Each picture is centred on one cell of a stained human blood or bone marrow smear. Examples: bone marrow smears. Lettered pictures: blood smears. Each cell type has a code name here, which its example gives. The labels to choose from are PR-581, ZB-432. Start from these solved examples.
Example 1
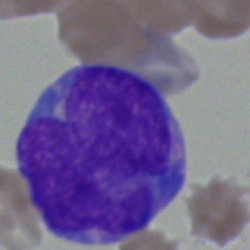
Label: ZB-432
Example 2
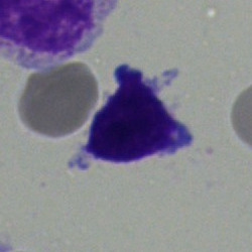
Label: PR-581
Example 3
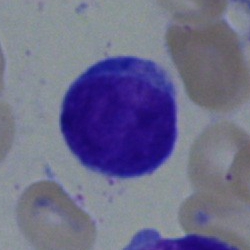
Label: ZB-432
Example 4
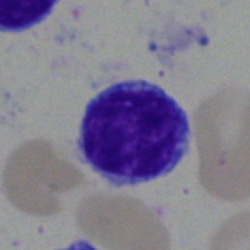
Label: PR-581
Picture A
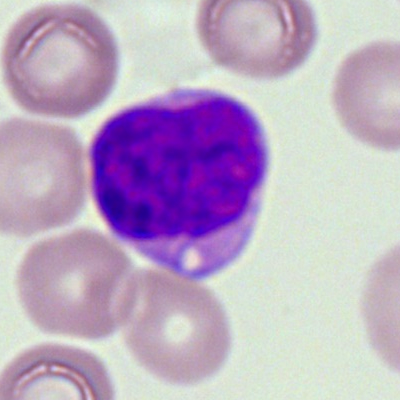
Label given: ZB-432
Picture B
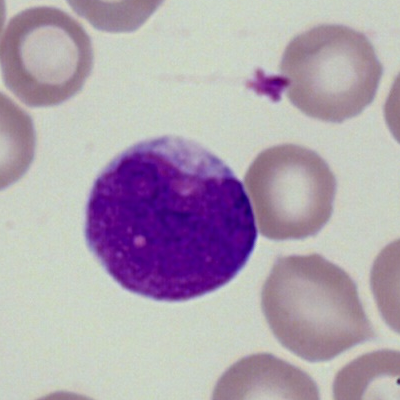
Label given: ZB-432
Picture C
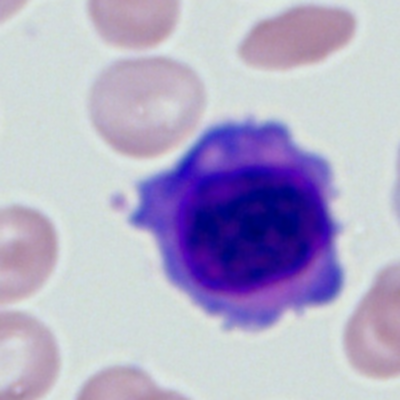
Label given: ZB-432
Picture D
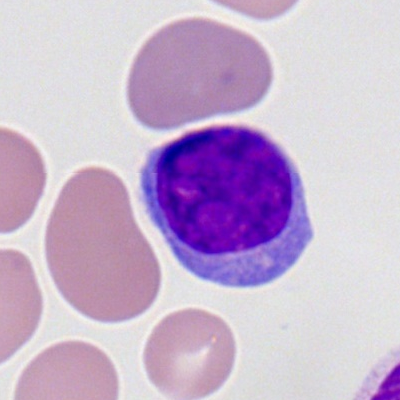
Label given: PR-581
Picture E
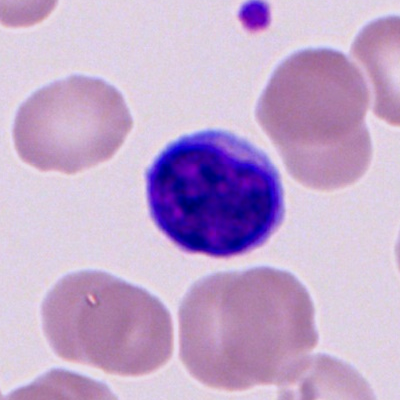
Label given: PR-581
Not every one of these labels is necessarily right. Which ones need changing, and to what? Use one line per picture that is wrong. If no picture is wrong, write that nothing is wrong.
A: not ZB-432 but PR-581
